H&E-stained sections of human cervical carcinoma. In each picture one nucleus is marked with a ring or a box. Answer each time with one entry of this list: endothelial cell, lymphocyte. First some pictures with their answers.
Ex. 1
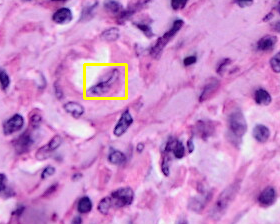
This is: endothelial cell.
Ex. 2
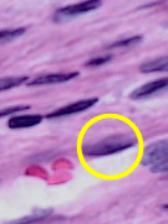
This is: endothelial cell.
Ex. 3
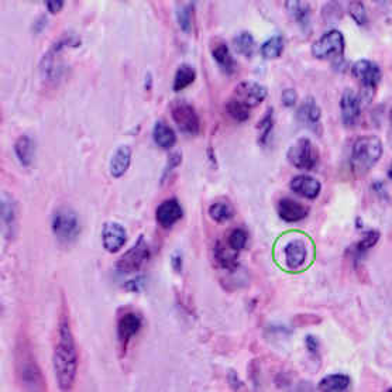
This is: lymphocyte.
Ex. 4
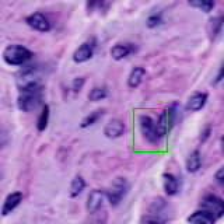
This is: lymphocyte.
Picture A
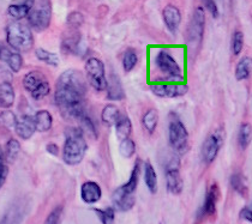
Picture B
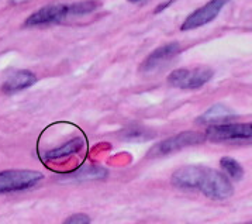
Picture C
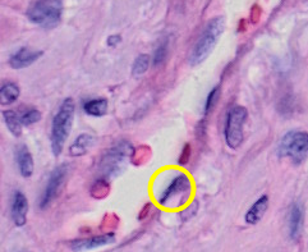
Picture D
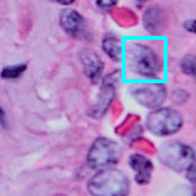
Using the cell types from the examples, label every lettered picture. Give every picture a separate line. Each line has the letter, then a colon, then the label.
A: lymphocyte.
B: endothelial cell.
C: endothelial cell.
D: endothelial cell.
